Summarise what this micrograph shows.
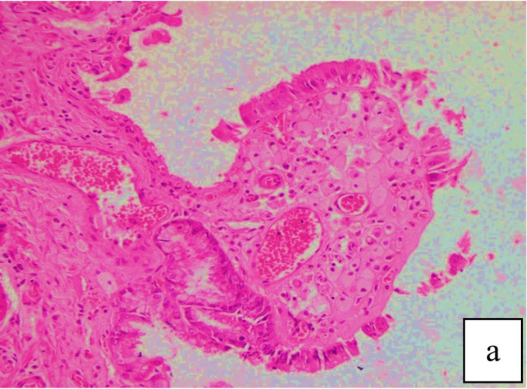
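A broad fold of gall bladder mucosa is covered by a single layer of tall columnar epithelium. Its core is packed with rounded cells with abundant pale, clear to finely foamy pink cytoplasm and small nuclei, between which lie blood vessels distended with red blood cells. Loose fibrous tissue lies to the left. Pale-laden cells gathered in the core of the mucosal folds are the picture of cholesterolosis.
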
